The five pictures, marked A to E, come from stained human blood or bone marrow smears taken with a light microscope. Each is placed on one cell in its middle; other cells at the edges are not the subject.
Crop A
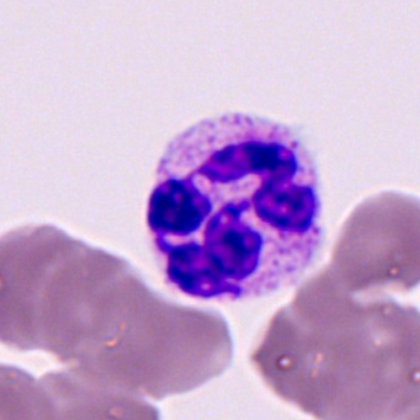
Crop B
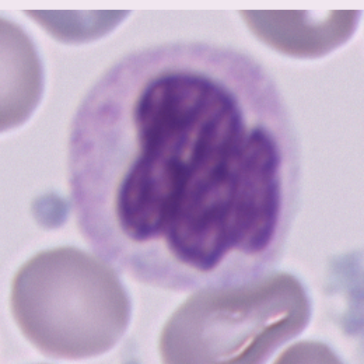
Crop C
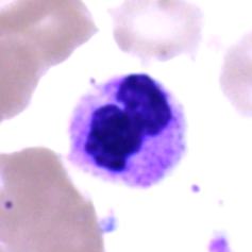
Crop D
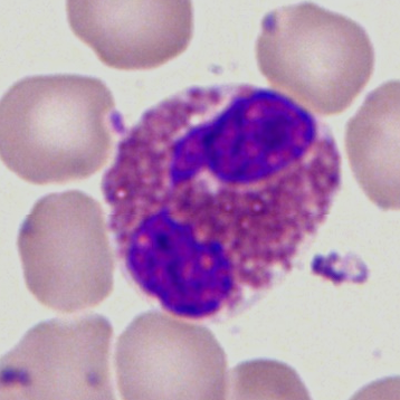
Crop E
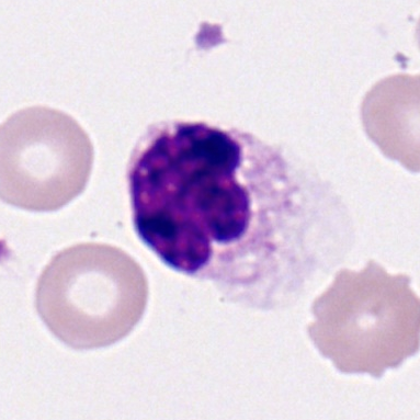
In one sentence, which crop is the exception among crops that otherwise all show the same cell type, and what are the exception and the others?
Identified in crop D is an eosinophil, whereas the other crops all show segmented neutrophils.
